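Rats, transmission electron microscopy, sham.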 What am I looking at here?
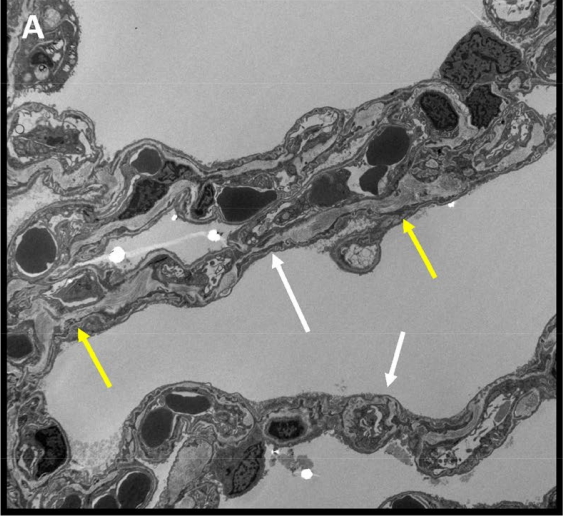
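Thin alveolar septa of the lung separating wide, empty air spaces. Each septum contains capillaries with dense oval red blood cells, lined by flat endothelial cells with elongated nuclei, and is covered by thin epithelial cytoplasm.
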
